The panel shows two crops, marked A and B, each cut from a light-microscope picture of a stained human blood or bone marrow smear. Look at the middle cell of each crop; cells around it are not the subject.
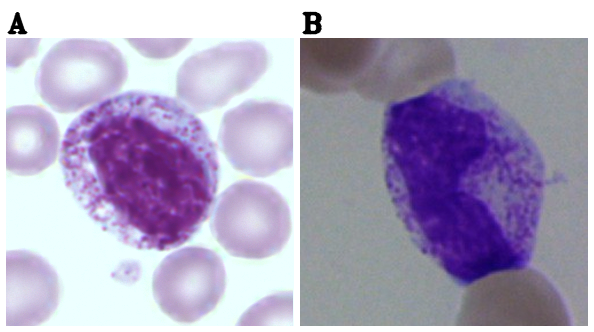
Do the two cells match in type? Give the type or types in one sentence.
Yes, metamyelocytes are at the centre in both crops.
